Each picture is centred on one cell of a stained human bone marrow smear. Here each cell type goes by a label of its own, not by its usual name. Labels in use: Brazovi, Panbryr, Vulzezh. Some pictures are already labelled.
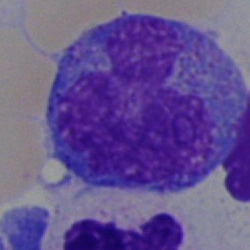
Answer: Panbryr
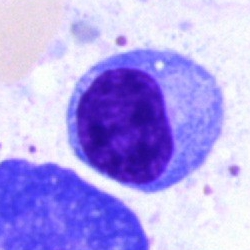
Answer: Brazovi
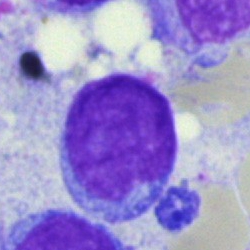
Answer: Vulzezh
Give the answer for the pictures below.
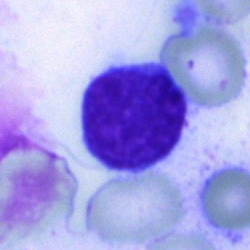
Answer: Brazovi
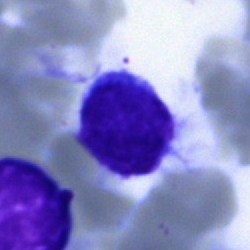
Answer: Brazovi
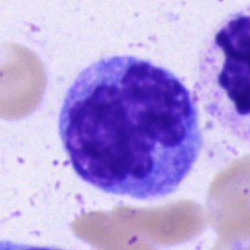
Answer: Panbryr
